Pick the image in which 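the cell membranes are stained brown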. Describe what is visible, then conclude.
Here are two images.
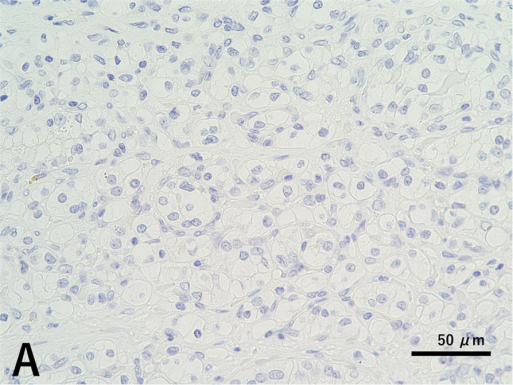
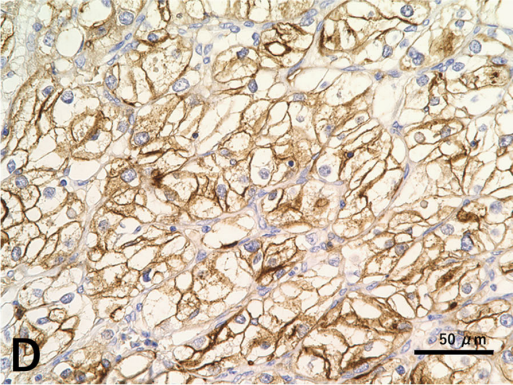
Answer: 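Second image: dark brown lines outline most tumor cells. First image: tumor cells show only blue nuclei with no brown stain.
Answer: the second image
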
